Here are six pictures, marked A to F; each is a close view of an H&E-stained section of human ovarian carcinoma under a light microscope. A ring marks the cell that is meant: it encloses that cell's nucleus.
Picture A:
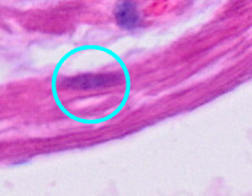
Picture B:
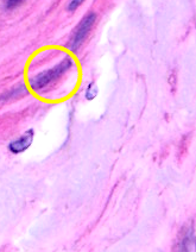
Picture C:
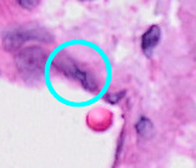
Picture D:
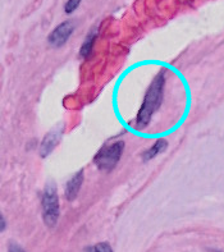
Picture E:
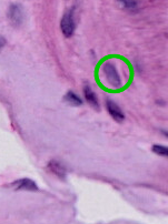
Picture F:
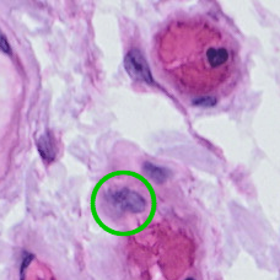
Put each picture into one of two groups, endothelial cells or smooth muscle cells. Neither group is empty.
A: smooth muscle cell
B: smooth muscle cell
C: endothelial cell
D: endothelial cell
E: smooth muscle cell
F: endothelial cell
